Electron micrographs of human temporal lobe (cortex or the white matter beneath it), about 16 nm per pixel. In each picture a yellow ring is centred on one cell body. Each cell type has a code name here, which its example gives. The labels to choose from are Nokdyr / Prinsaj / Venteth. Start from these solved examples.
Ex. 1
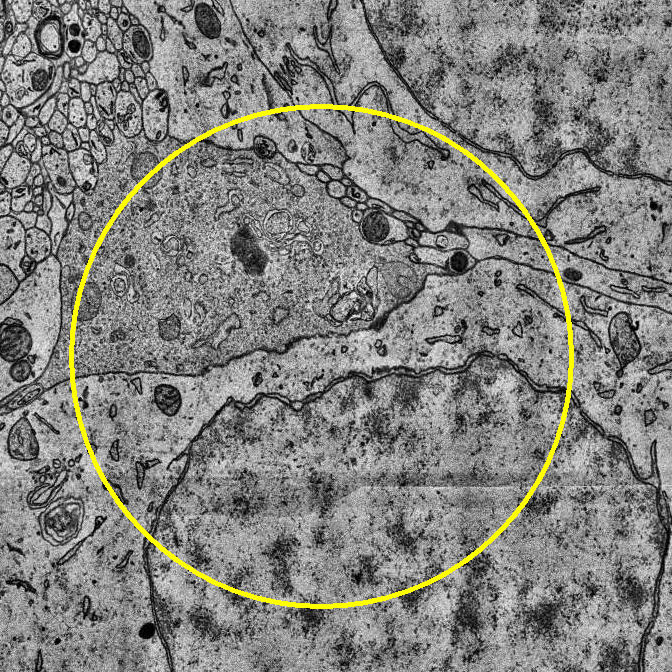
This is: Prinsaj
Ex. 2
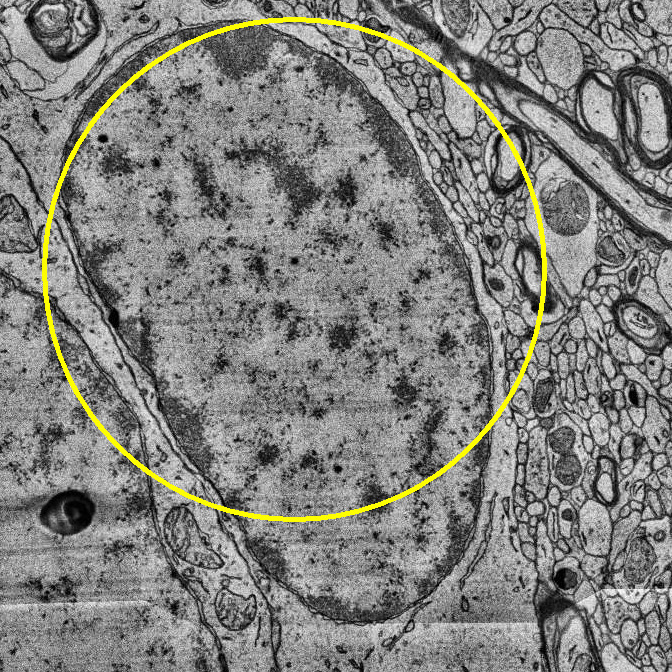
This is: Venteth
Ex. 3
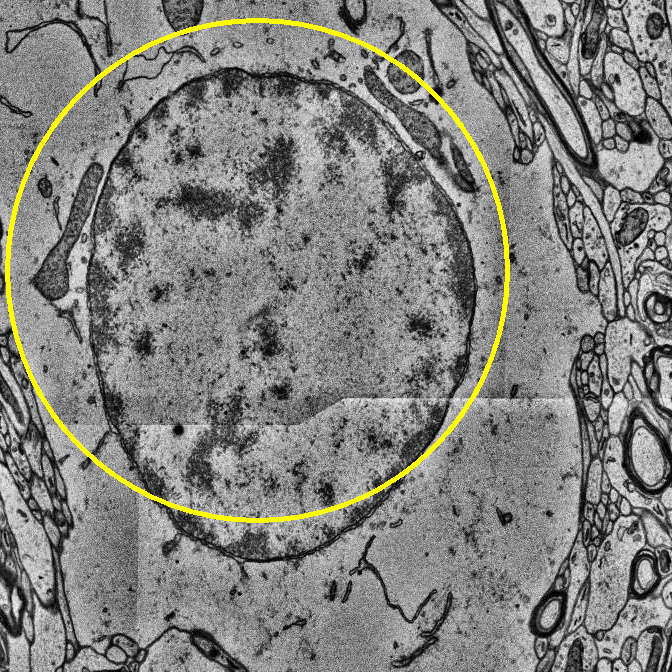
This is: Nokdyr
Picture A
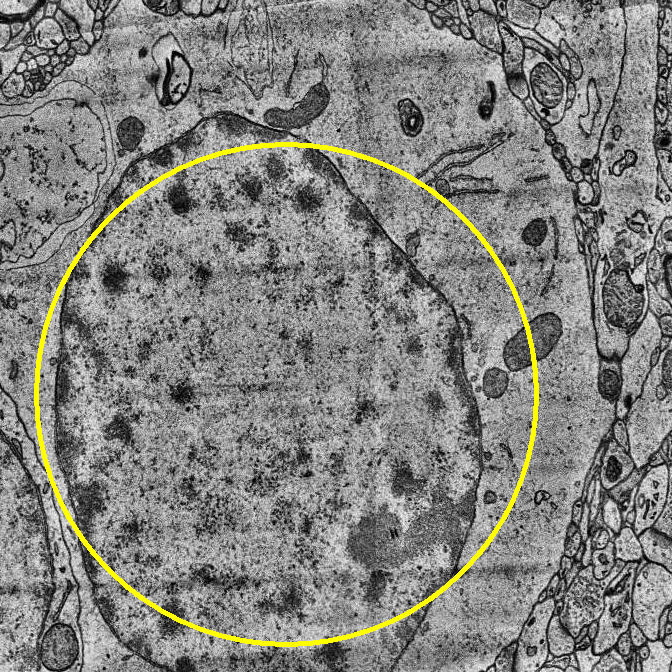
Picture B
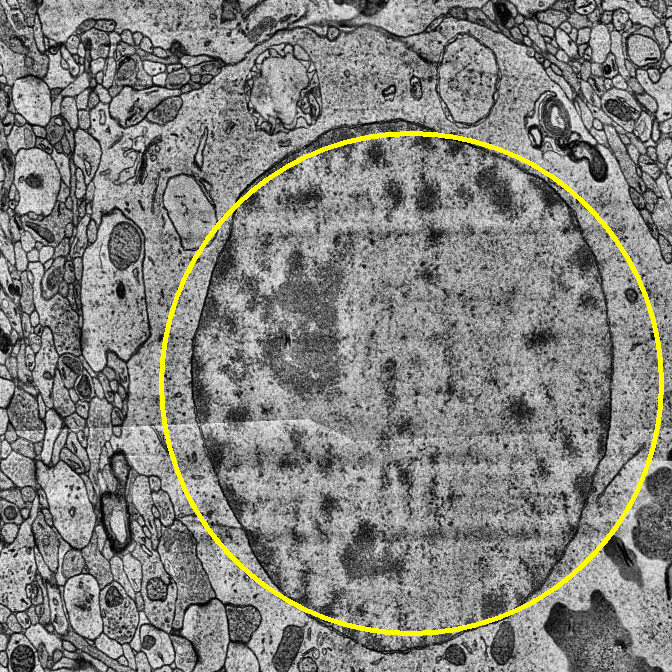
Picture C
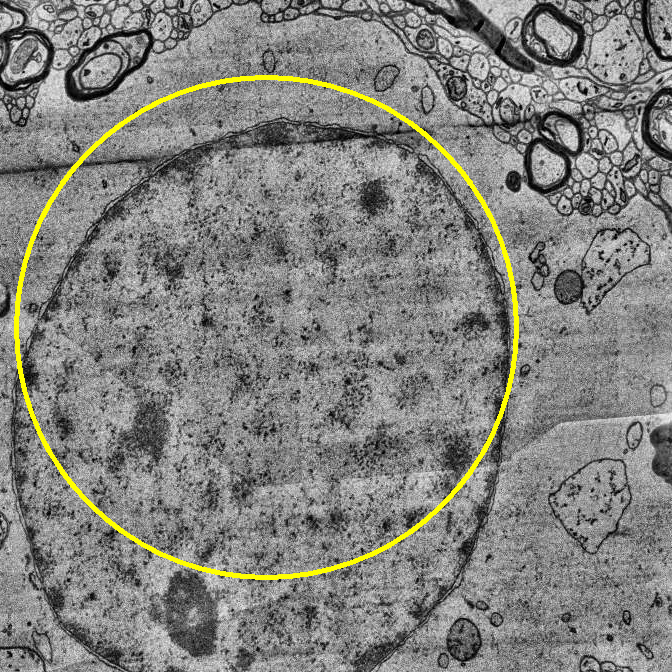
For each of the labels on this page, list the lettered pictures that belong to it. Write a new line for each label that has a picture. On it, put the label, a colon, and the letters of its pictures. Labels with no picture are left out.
Nokdyr: A, B, C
